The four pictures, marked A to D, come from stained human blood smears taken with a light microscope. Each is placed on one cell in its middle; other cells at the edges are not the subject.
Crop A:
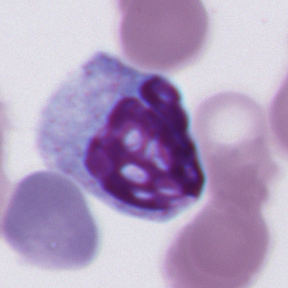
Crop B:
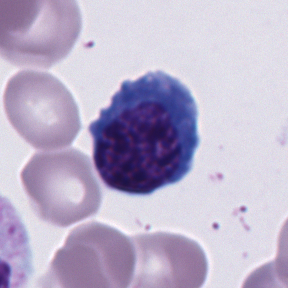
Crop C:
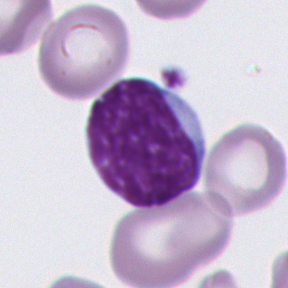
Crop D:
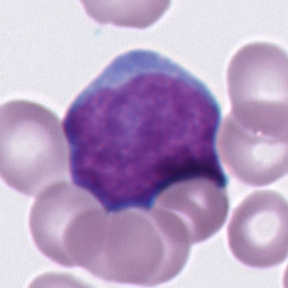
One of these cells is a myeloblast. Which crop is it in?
D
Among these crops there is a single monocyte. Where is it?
A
